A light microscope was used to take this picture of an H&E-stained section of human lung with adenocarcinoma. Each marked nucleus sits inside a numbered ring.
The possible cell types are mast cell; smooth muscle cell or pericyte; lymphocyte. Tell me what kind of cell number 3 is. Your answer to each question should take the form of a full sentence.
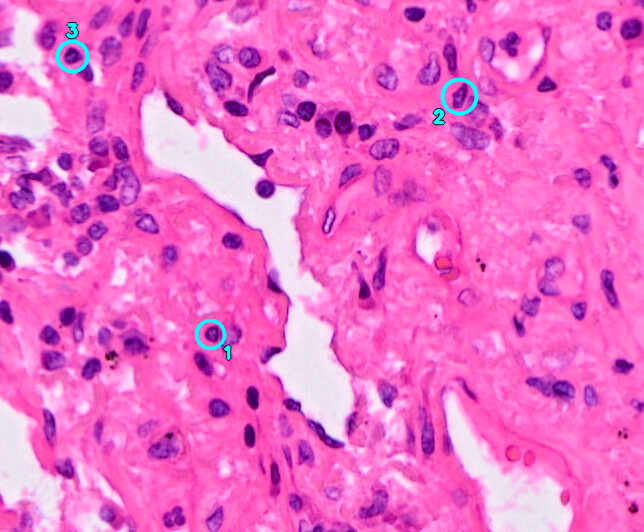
The cell identified by number 3 is a lymphocyte.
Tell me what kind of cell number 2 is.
Denoted by the label 2 in the section is a mast cell.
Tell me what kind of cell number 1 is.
Marked with the number 1, this cell is a mast cell.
